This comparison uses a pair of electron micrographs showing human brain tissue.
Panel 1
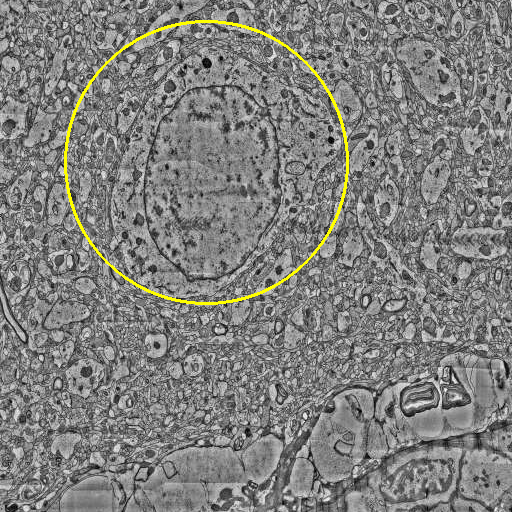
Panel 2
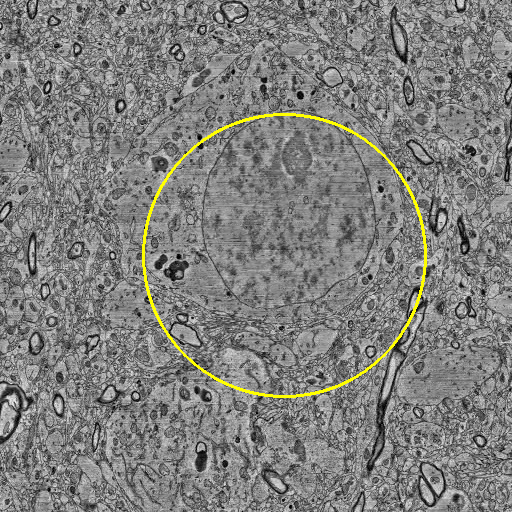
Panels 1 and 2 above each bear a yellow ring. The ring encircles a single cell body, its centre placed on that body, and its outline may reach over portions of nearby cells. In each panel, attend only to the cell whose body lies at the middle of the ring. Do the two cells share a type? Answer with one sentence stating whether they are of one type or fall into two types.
In Panel 1 and Panel 2, the cells at the centres of the rings are of one type.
